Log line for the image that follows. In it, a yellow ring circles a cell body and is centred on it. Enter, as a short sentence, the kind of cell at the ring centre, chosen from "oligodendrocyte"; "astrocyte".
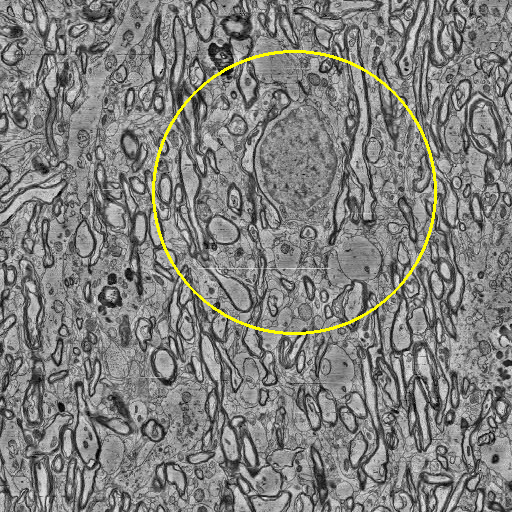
The ring centre is occupied by an oligodendrocyte.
